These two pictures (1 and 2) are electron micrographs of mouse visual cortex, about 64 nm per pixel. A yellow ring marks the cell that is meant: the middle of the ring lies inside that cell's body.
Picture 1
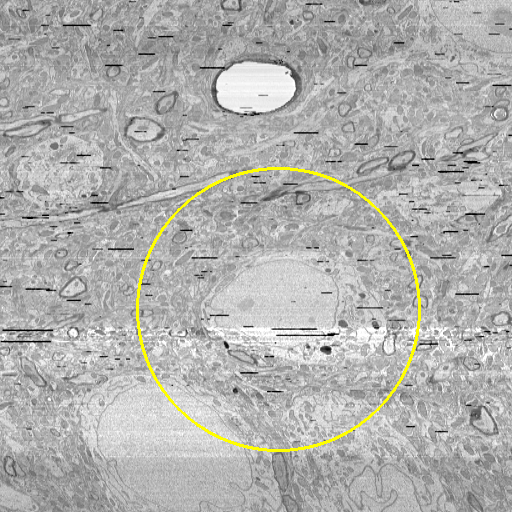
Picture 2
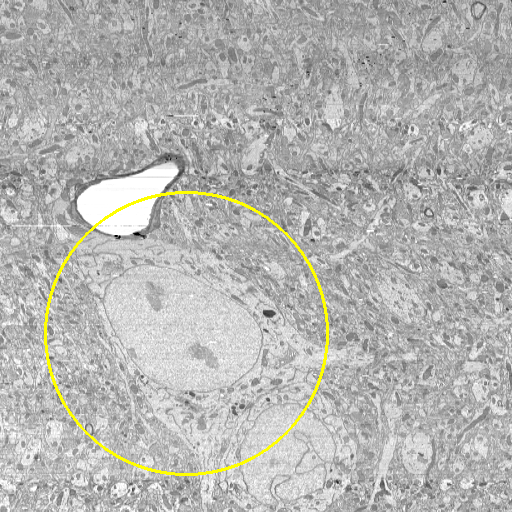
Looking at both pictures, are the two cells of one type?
Yes, they are the same type: both are excitatory neurons.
